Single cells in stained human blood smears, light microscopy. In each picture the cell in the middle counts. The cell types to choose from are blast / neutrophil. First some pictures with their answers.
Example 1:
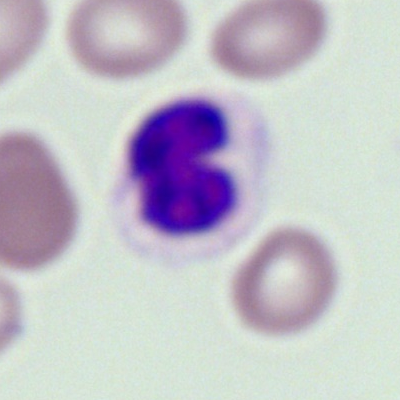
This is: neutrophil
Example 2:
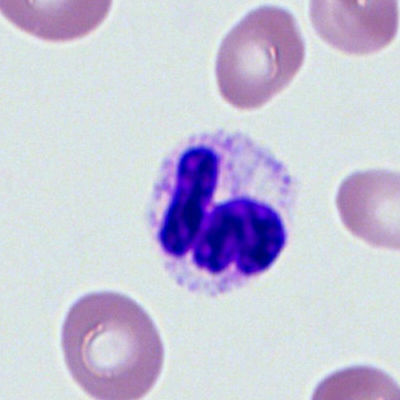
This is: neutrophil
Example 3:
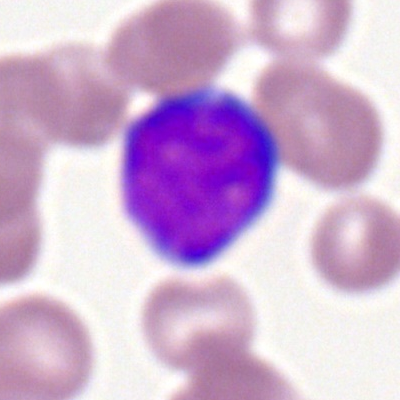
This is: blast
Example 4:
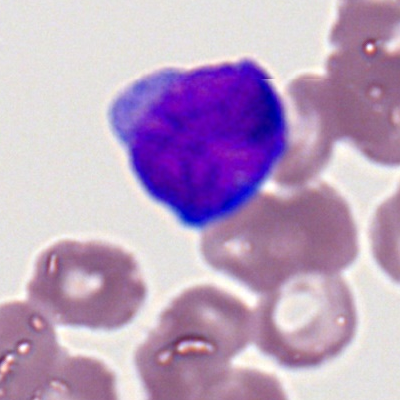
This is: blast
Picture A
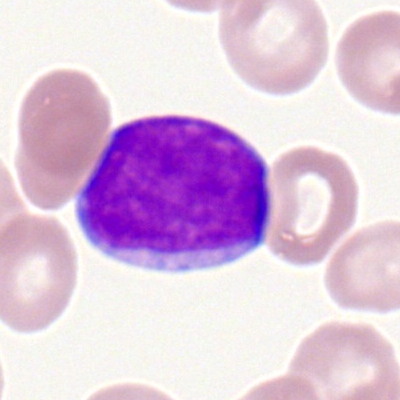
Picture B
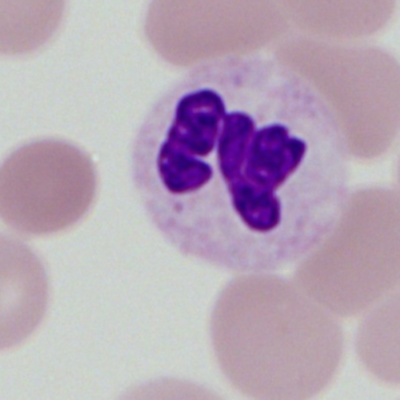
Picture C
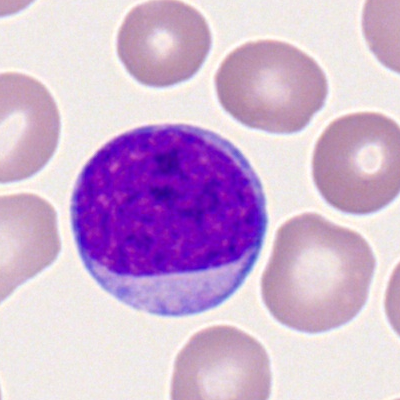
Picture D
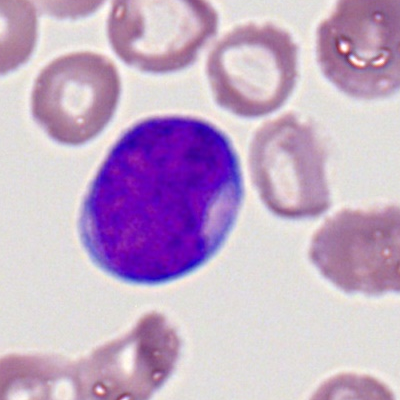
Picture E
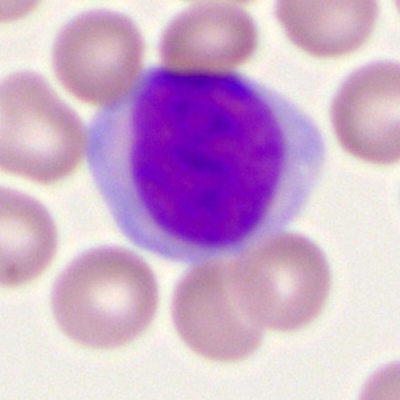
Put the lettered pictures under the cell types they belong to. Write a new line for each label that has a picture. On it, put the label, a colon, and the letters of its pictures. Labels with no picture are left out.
blast: A, C, D, E
neutrophil: B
